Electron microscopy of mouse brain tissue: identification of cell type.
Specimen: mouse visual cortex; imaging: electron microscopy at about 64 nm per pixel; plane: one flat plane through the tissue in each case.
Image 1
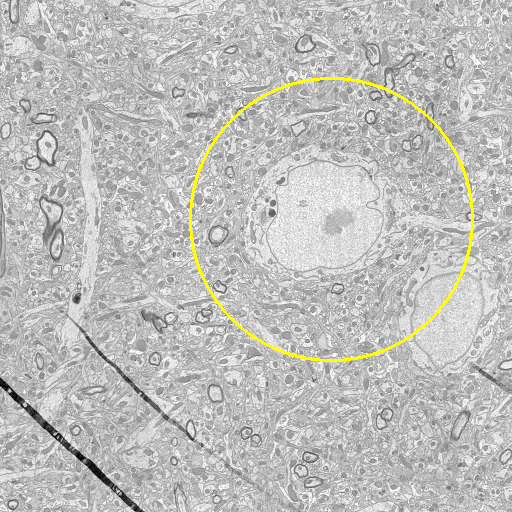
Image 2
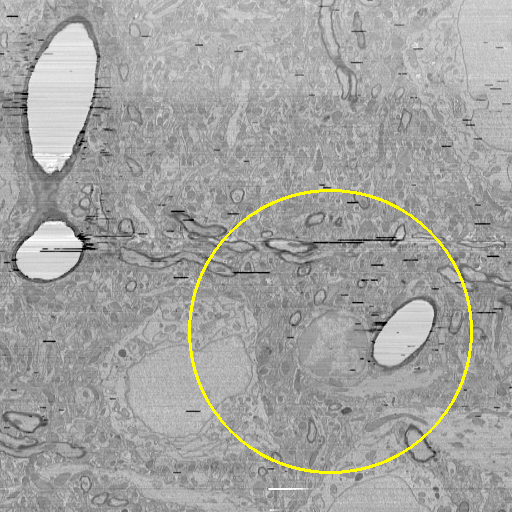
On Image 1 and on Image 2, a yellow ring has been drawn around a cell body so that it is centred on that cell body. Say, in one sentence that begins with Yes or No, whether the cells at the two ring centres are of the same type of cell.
No, the two cells are two separate types of cell.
